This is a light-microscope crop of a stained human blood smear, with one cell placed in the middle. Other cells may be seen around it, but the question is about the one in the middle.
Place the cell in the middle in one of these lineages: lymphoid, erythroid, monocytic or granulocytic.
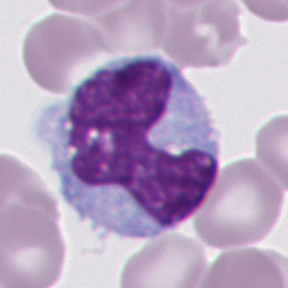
monocytic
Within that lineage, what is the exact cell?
monocyte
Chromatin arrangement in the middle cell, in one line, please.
In this cell the chromatin is fine rather than coarsely clumped.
